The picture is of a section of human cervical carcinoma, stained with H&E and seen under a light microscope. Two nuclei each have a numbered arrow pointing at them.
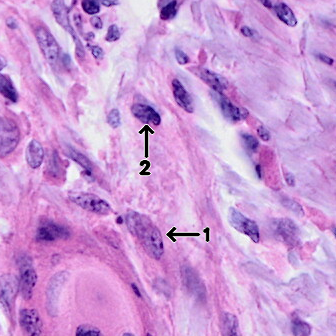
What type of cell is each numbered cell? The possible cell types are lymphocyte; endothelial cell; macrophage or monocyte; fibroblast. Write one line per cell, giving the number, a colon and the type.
1: fibroblast
2: lymphocyte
